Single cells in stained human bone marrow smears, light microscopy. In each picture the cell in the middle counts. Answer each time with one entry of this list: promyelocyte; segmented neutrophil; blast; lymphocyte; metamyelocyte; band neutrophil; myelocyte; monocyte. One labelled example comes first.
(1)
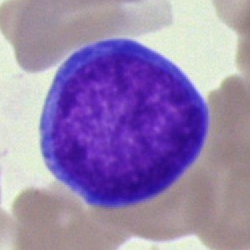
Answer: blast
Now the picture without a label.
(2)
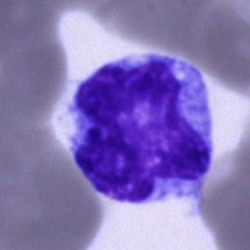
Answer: monocyte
